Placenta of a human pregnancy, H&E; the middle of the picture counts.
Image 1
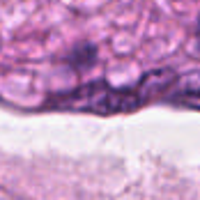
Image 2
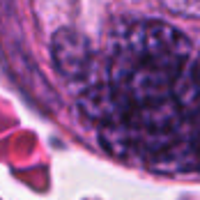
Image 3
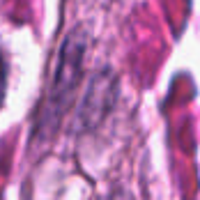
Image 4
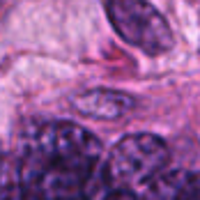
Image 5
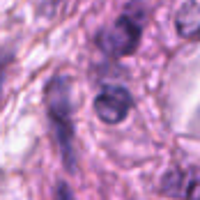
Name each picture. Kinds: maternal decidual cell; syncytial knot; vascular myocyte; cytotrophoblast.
1: vascular myocyte
2: syncytial knot
3: maternal decidual cell
4: cytotrophoblast
5: vascular myocyte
